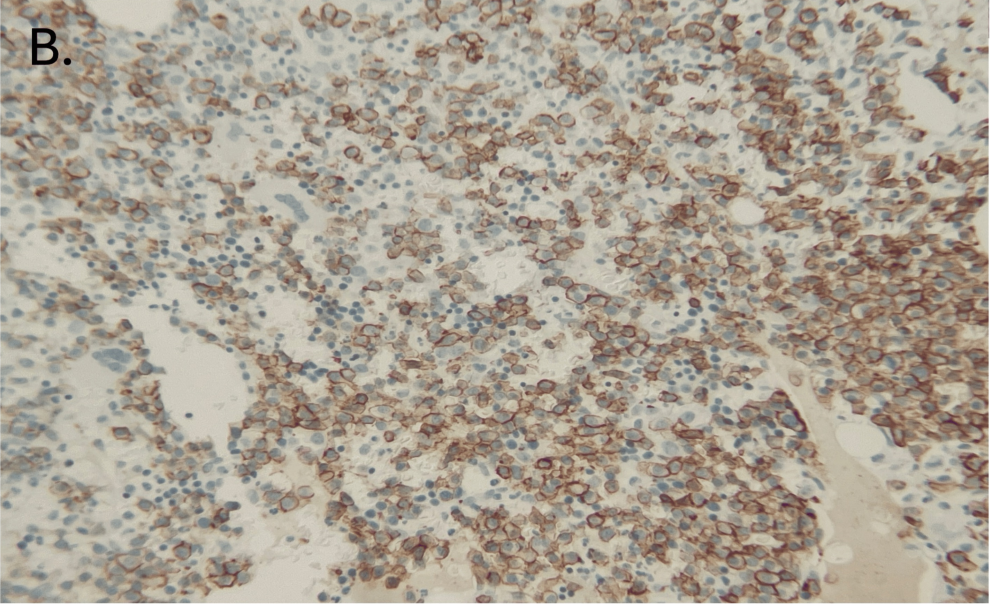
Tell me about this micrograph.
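Bone marrow in which most cells are rounded to oval and outlined by a crisp brown rim at the cell membrane, with pale cytoplasm and blue-counterstained nuclei that sit toward one side in many. Between them lie smaller cells with dark blue nuclei and no brown rim, plus a few thin-walled vessels and clear spaces.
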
